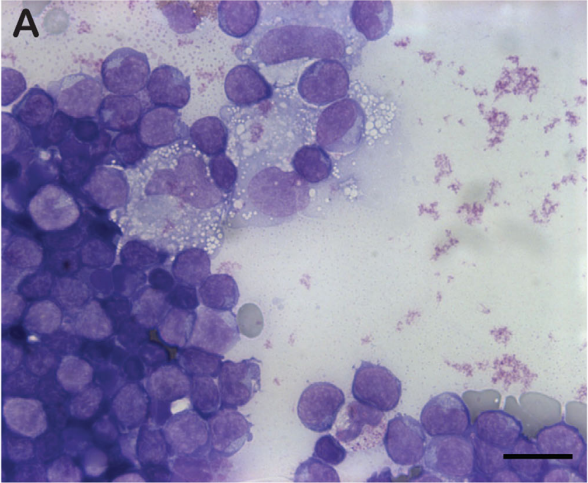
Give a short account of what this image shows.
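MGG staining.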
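This cytology smear shows macrophages with foamy, vacuolated cytoplasm lying among a dense crowd of small round cells. The small cells are closely packed, with round to slightly indented purple nuclei and a narrow rim of blue cytoplasm. The background holds scattered pink granular material, and a few pale grey red blood cells lie near the lower edge of the smear.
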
